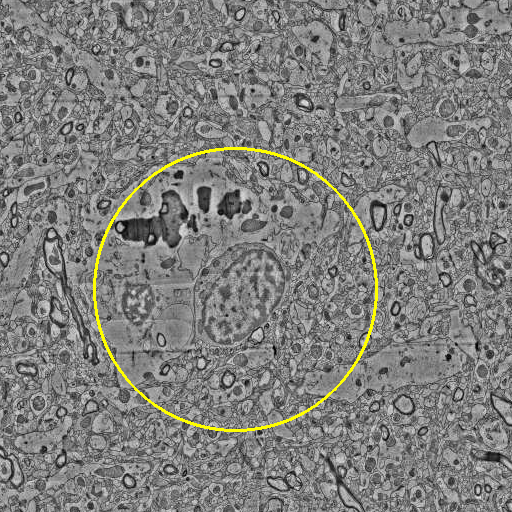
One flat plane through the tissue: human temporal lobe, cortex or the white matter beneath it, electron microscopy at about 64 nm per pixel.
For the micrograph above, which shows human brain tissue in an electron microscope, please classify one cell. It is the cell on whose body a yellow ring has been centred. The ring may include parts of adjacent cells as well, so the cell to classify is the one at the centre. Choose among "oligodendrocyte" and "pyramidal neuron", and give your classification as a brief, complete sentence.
I classify this cell as an oligodendrocyte.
